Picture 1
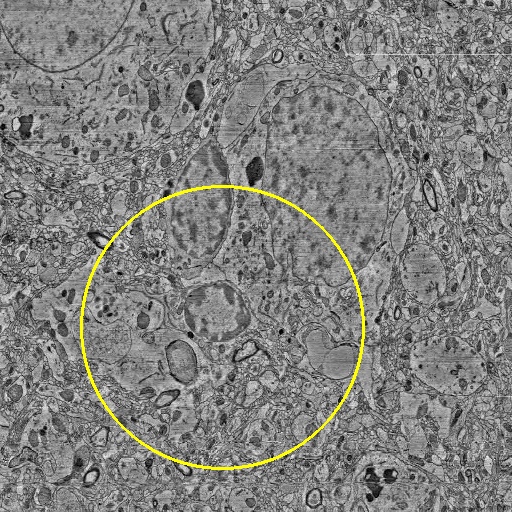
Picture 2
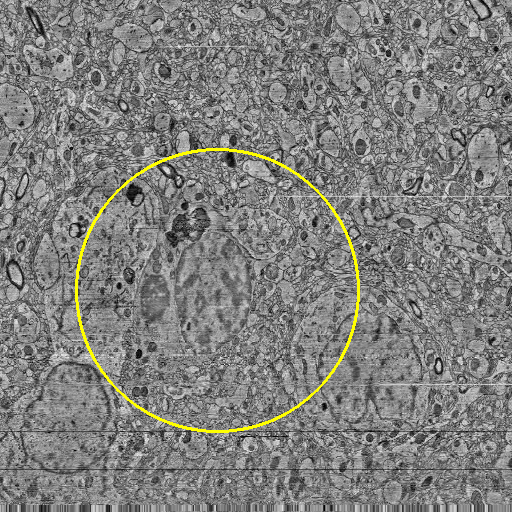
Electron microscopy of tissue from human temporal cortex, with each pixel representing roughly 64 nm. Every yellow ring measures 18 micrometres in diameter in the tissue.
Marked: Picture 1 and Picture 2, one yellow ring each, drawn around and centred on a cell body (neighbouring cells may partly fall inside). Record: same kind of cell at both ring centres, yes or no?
no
